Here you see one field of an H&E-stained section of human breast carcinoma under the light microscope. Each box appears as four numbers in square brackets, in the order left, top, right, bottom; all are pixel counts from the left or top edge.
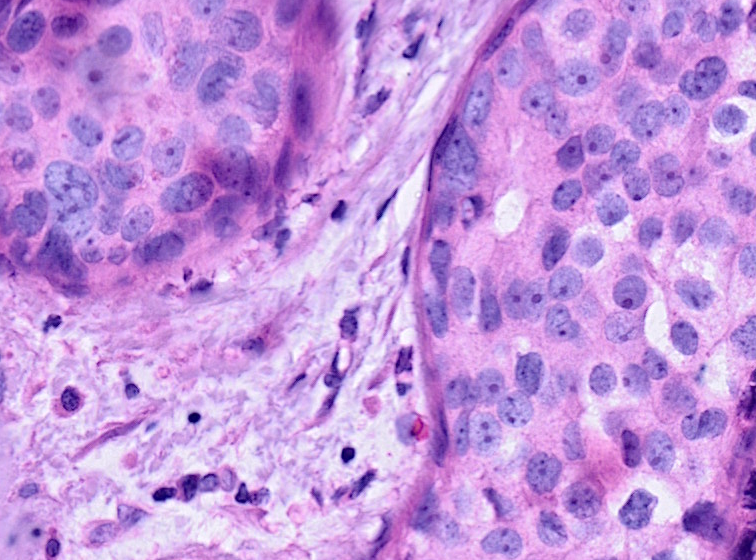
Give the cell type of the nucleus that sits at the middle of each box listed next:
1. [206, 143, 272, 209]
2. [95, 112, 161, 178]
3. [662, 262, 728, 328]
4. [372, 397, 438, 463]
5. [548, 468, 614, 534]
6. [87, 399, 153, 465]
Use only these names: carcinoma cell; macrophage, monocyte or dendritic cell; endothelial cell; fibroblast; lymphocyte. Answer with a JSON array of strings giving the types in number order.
["carcinoma cell", "carcinoma cell", "carcinoma cell", "endothelial cell", "carcinoma cell", "fibroblast"]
